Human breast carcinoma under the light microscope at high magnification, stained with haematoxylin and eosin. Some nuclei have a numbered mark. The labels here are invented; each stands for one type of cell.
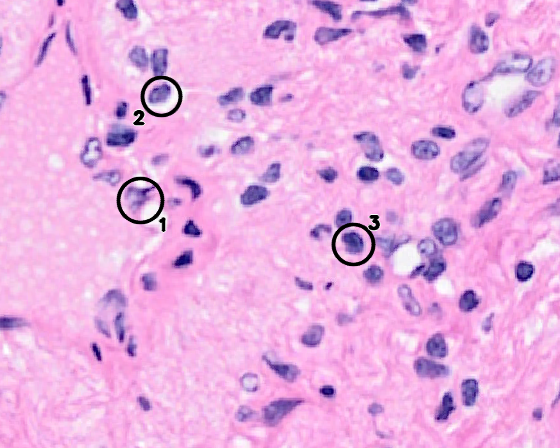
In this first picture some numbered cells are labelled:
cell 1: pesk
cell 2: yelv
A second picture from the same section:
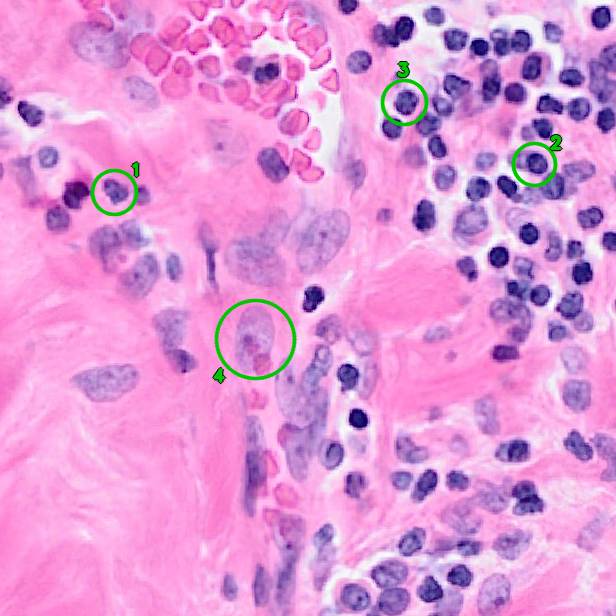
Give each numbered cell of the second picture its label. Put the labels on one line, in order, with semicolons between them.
yelv; yelv; yelv; pesk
